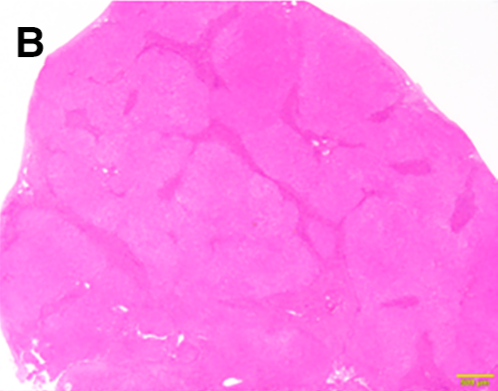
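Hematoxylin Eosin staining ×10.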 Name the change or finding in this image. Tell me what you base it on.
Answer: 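The tissue is divided into rounded pink nodules. Darker pink bands of fibrous tissue run between the nodules and connect with one another.
Hence: bridging fibrosis.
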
